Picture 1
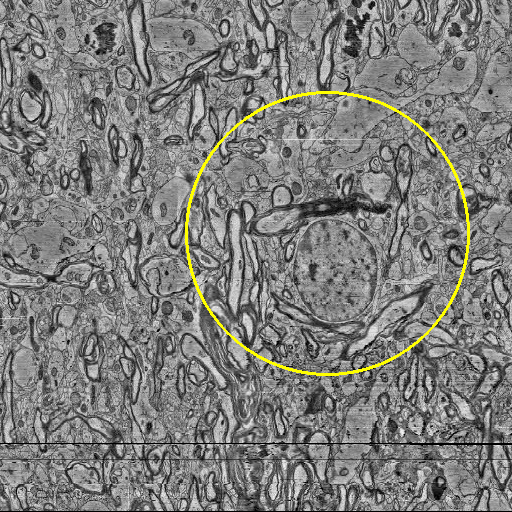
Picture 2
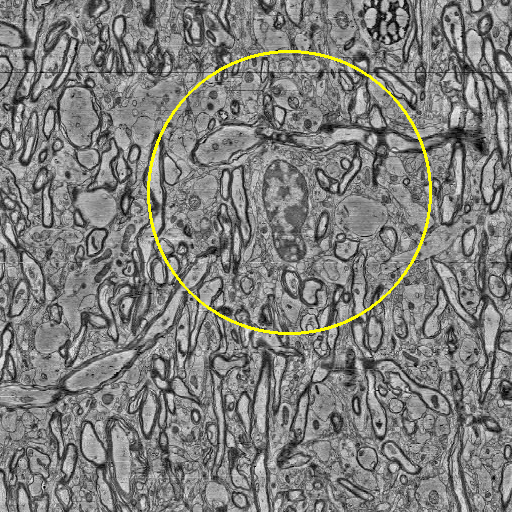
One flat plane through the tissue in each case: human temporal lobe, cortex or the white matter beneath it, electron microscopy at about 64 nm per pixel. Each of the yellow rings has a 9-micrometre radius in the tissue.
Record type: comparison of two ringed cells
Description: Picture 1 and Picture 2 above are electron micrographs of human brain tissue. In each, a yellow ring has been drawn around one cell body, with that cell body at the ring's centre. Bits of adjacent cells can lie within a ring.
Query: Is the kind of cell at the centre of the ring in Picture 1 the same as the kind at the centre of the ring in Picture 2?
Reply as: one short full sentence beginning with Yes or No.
Yes, the two ringed cells are of the same kind.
